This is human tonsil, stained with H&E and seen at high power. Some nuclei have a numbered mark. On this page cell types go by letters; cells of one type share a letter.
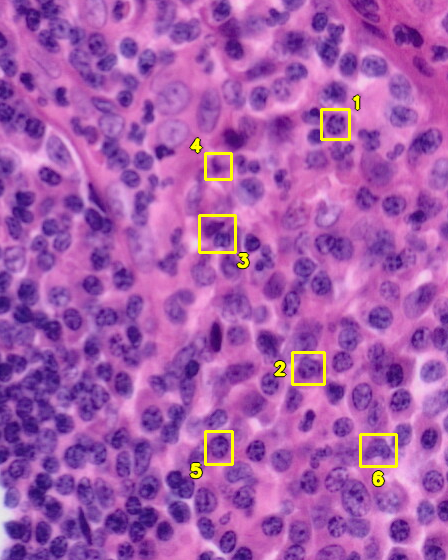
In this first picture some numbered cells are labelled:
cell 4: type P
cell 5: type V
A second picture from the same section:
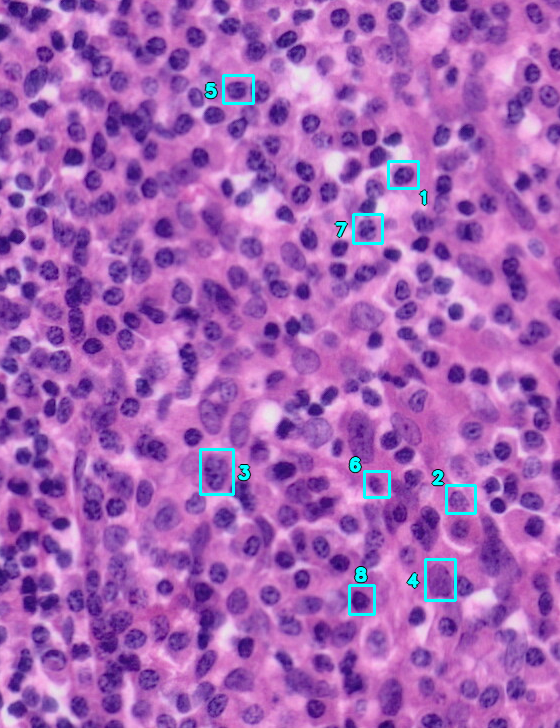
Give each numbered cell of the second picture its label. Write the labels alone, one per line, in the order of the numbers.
type V
type V
type P
type P
type V
type P
type V
type V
